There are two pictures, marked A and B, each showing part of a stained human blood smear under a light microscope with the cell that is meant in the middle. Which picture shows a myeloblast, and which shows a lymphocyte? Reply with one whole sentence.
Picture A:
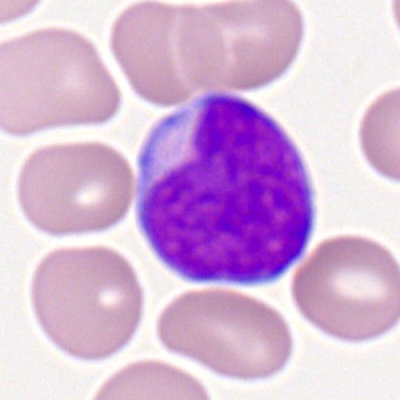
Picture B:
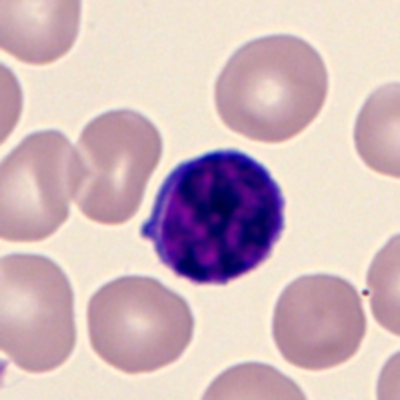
Picture B shows a lymphocyte, while picture A shows a myeloblast.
